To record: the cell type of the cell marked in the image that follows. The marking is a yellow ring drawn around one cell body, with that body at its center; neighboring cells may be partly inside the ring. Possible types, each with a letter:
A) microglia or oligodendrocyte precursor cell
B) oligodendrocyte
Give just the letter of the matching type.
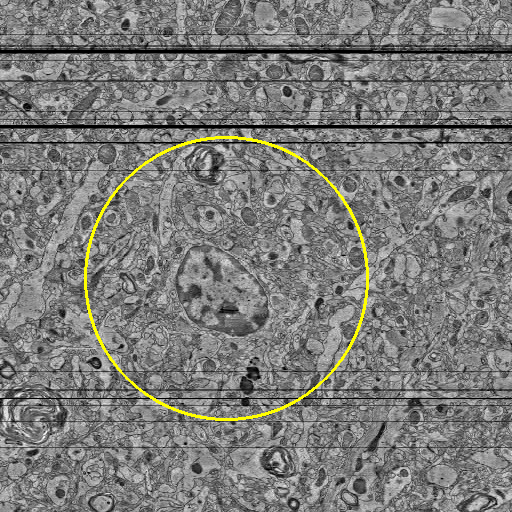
A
